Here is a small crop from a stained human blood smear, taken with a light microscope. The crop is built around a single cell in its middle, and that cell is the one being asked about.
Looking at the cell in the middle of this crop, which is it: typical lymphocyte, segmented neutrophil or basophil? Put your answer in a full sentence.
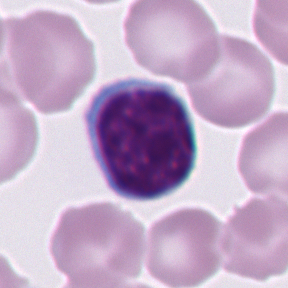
This crop's central cell is a typical lymphocyte.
